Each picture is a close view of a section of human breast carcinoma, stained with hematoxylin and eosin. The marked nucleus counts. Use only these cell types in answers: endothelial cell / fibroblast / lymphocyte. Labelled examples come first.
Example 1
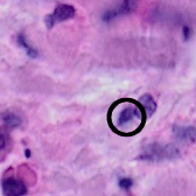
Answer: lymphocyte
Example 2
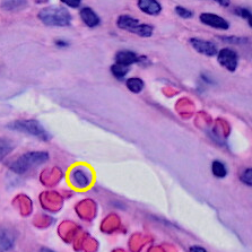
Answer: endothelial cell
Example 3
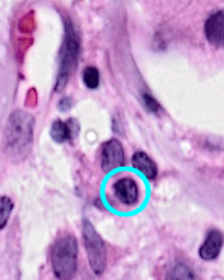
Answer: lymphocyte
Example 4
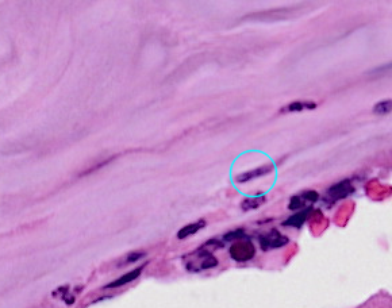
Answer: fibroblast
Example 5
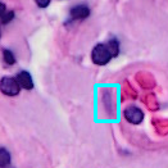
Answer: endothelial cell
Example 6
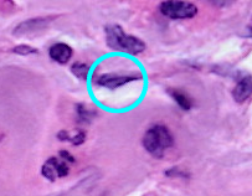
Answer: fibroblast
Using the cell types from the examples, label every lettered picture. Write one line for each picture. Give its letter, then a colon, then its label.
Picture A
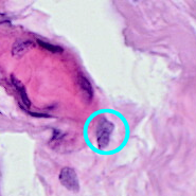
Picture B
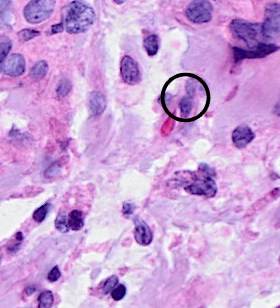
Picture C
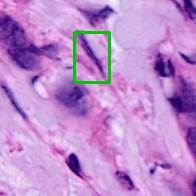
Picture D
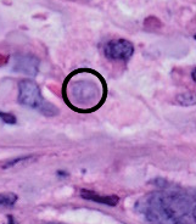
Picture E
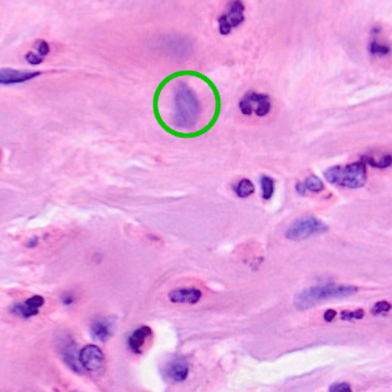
A: fibroblast
B: endothelial cell
C: fibroblast
D: endothelial cell
E: fibroblast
